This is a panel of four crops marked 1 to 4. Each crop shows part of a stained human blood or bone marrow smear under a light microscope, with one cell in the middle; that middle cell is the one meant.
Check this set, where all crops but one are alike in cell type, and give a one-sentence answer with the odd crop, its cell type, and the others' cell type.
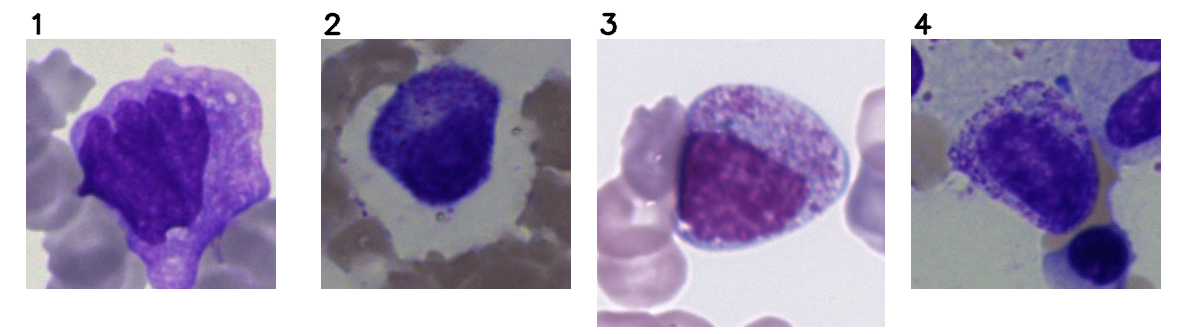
The exception is crop 1: it is a monocyte, and the others are all myelocytes.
